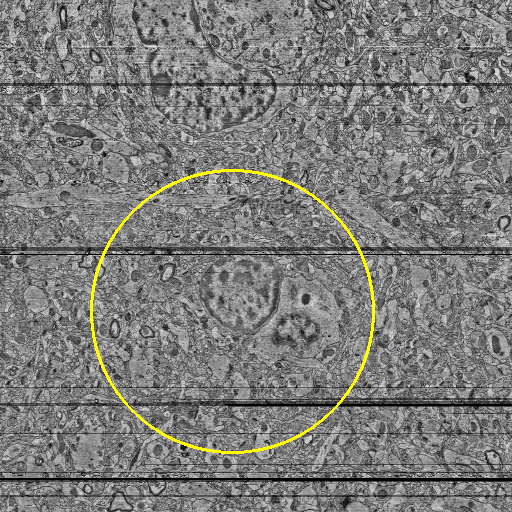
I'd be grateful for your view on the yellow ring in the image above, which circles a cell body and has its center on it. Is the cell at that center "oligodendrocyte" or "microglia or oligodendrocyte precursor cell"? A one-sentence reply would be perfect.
The cell at the center of the yellow ring is an oligodendrocyte.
